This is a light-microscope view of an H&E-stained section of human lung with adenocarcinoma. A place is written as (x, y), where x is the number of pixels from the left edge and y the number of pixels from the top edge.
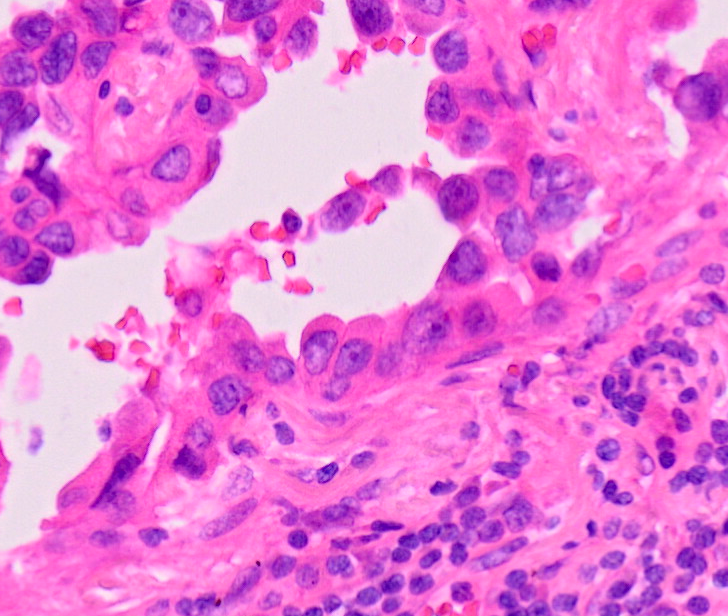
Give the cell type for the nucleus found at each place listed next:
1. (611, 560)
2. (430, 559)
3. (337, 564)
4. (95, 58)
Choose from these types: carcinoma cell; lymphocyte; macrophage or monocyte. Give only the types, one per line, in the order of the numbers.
lymphocyte
lymphocyte
lymphocyte
carcinoma cell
